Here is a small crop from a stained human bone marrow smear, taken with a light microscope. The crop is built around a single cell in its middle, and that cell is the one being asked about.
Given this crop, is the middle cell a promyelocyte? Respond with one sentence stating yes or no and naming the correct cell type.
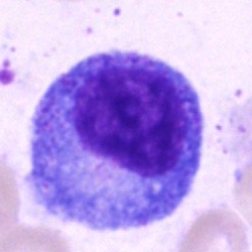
Yes, the cell in the middle is recognised as a promyelocyte.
